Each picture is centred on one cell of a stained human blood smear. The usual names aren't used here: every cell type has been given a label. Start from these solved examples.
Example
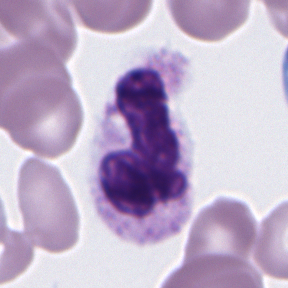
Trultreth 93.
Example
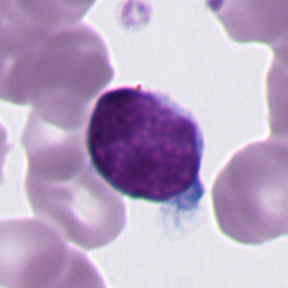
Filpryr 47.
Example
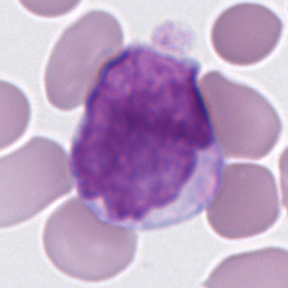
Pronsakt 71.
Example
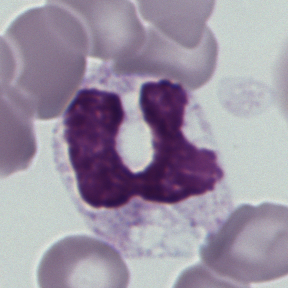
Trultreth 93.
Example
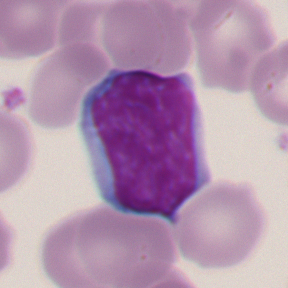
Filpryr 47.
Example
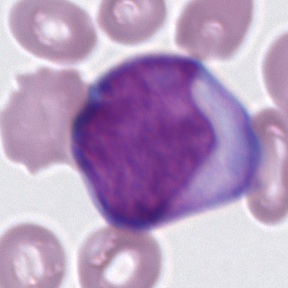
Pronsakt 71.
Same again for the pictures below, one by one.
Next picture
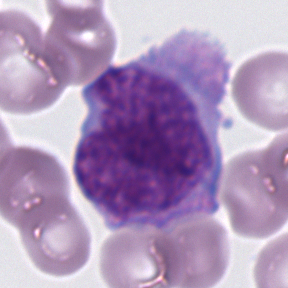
Pronsakt 71.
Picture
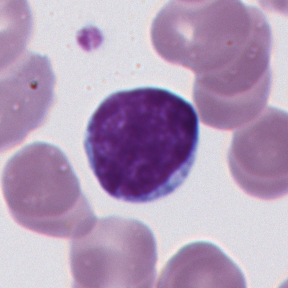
Filpryr 47.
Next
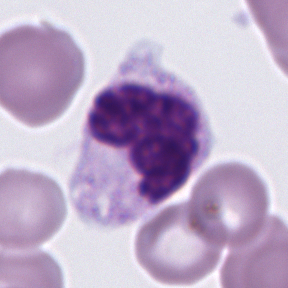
Trultreth 93.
